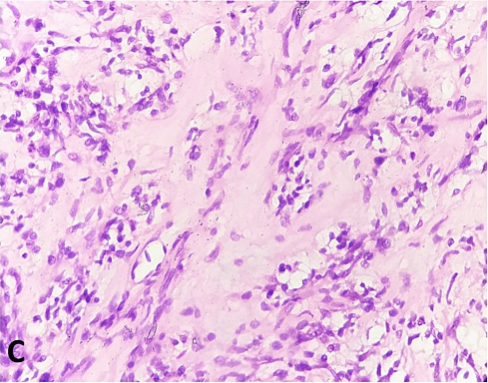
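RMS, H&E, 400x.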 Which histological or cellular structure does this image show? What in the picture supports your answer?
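Broad pale pink, homogeneous matrix lies between groups of cells. Spindle-shaped cells with elongated nuclei run along the matrix. On this evidence: sclerotic stroma.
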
